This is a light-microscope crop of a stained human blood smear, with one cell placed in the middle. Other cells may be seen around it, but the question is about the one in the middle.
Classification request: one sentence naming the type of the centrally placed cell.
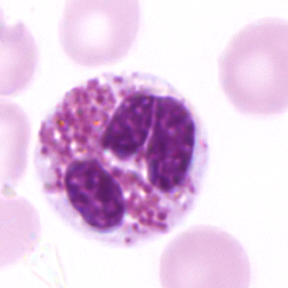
Standing at the centre of this crop is an eosinophil.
